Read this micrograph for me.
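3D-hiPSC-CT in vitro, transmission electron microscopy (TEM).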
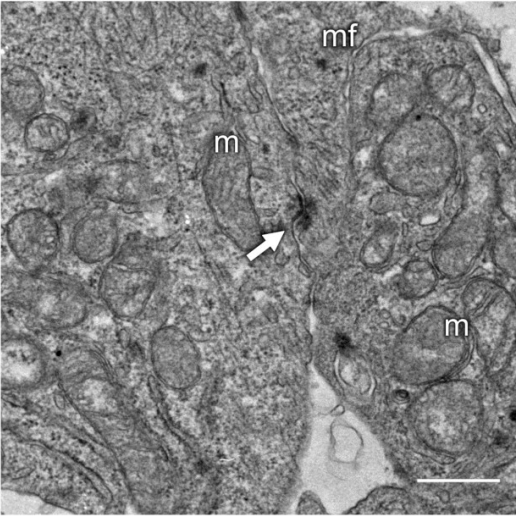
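This electron micrograph shows the cytoplasm of adjoining cardiomyocytes at high magnification. Numerous round to oval mitochondria with internal cristae are scattered through a granular cytoplasm. Only a few thin, loosely arranged filament strands, representing sparse myofibrils, run through the field without clear transverse banding. Where two cells meet, a small electron-dense plaque marks a junction between their membranes.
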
